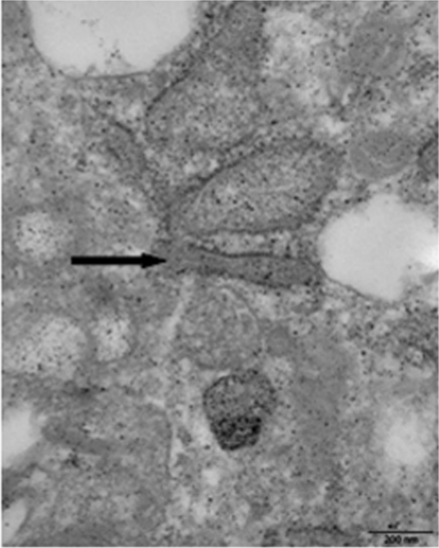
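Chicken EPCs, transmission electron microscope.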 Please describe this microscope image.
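At higher magnification, the cytoplasm of an endothelial cell contains a long, narrow, rod-shaped Weibel-Palade body. It lies next to oval organelles with internal membranes that look like mitochondria. Large pale vacuoles and cytoplasm dotted with dense granules lie around them.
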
